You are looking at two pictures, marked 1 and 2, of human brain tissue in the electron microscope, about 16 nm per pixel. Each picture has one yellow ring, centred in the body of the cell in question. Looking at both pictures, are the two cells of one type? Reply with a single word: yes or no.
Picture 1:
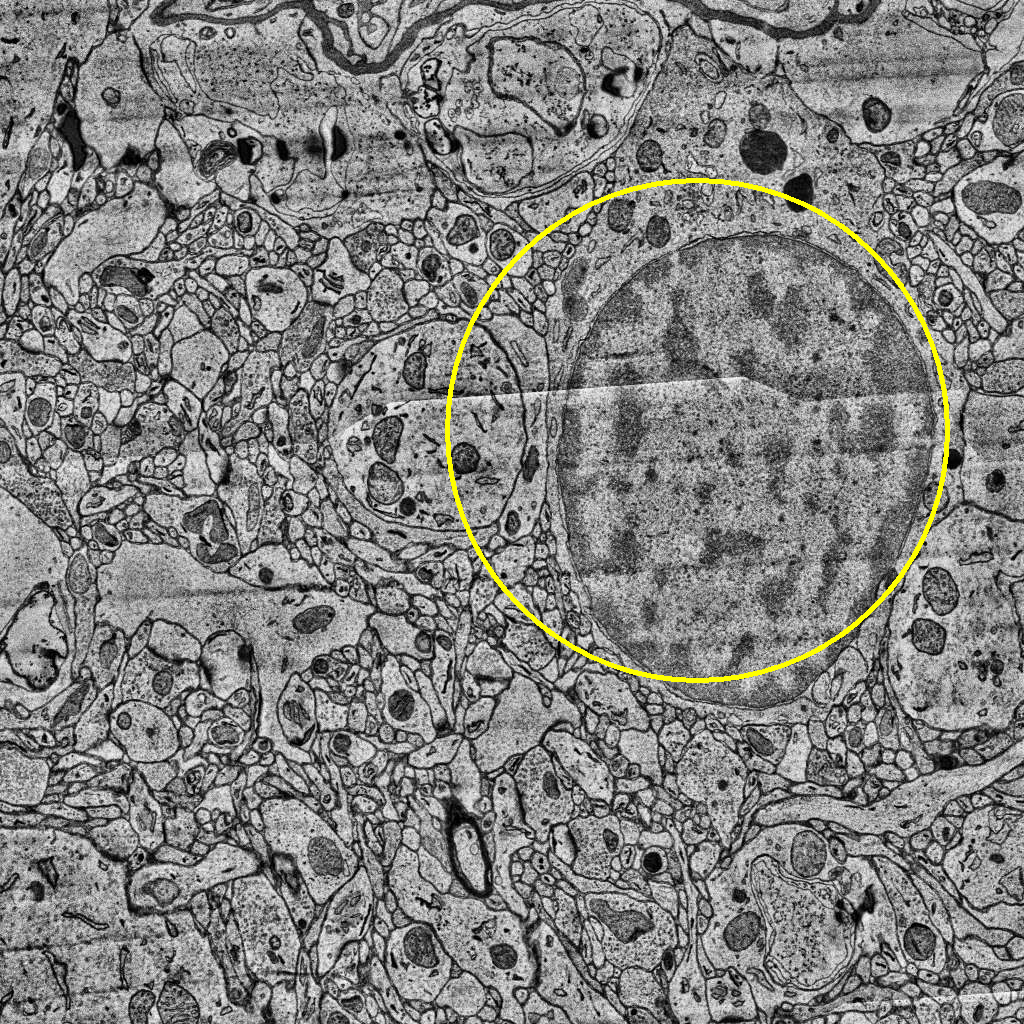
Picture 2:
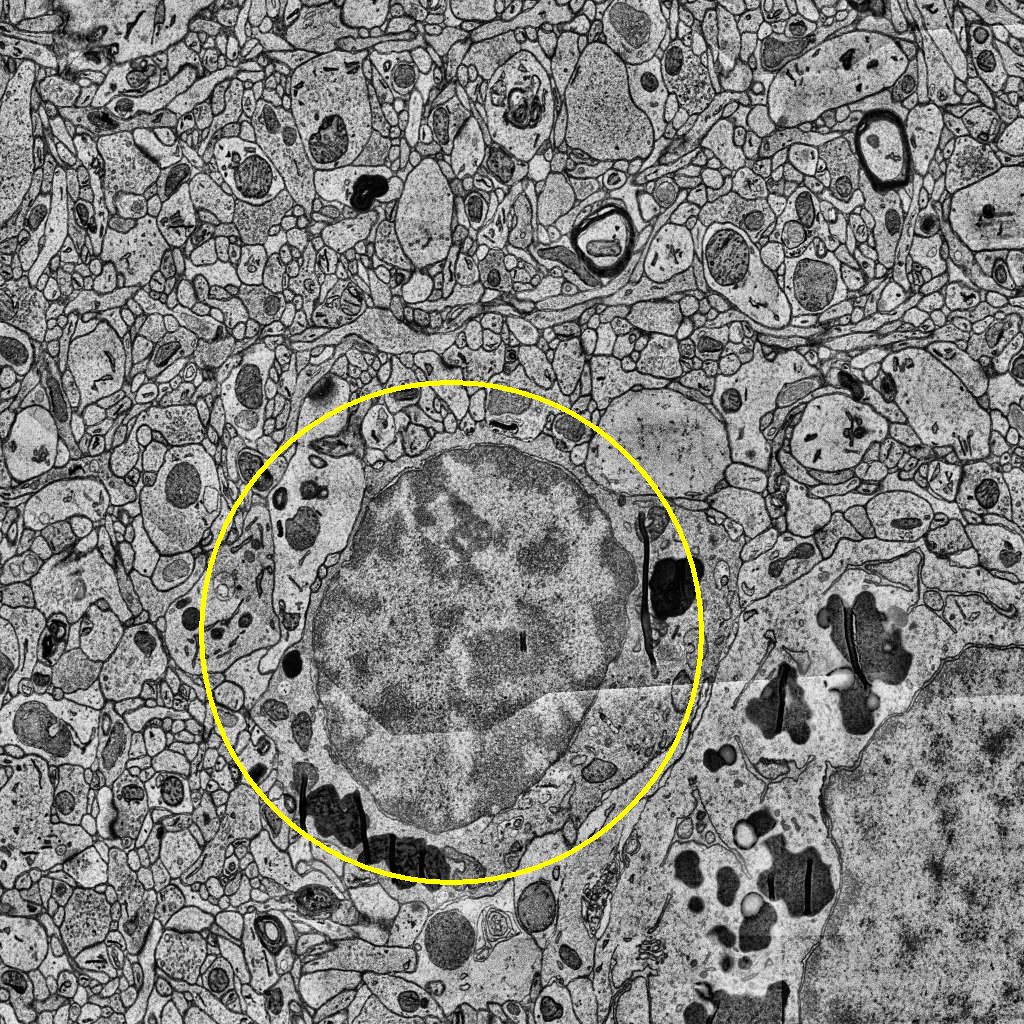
yes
